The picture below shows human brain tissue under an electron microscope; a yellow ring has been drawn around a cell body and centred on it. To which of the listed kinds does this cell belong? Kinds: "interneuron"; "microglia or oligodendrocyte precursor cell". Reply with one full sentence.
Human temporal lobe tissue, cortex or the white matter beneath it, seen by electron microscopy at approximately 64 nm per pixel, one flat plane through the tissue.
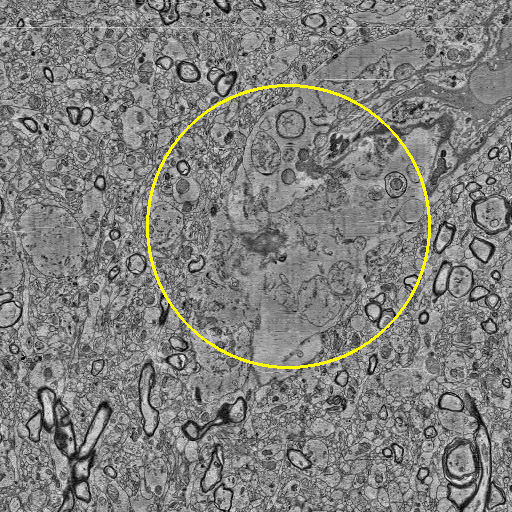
It is a microglial cell or oligodendrocyte precursor cell that the yellow ring in the picture is centred on.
